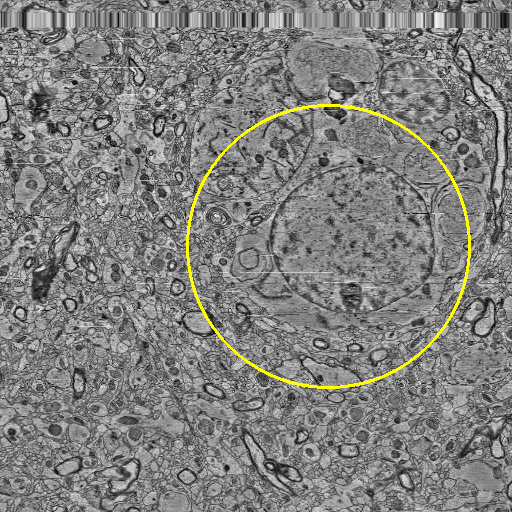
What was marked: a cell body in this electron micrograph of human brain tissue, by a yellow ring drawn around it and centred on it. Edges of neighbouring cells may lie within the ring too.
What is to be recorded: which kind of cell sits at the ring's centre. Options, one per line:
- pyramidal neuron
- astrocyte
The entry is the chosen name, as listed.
astrocyte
